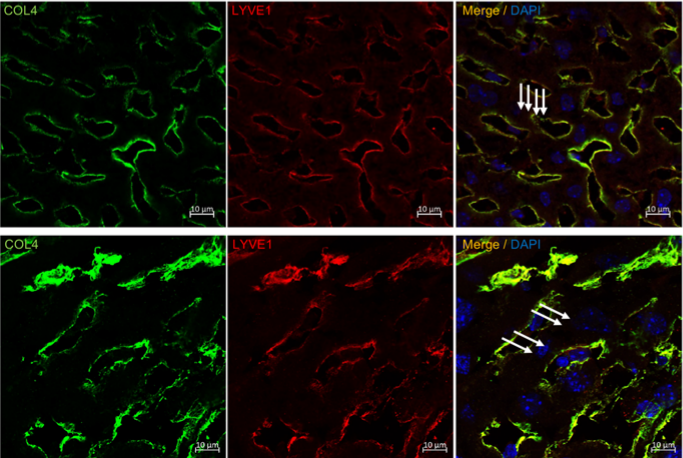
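Liver tissue with narrow, irregular sinusoidal channels shown in three matching fields: green, red and merged with blue nuclei. In the upper row the channel walls are thin, fine lines that appear yellow where green and red overlap in the merge. Round blue nuclei lie in the plates of tissue between the channels. In the lower row the green and red signal along the channels is thicker, brighter and clumped, forming dense irregular deposits. These deposits largely overlap and appear yellow in the merge.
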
